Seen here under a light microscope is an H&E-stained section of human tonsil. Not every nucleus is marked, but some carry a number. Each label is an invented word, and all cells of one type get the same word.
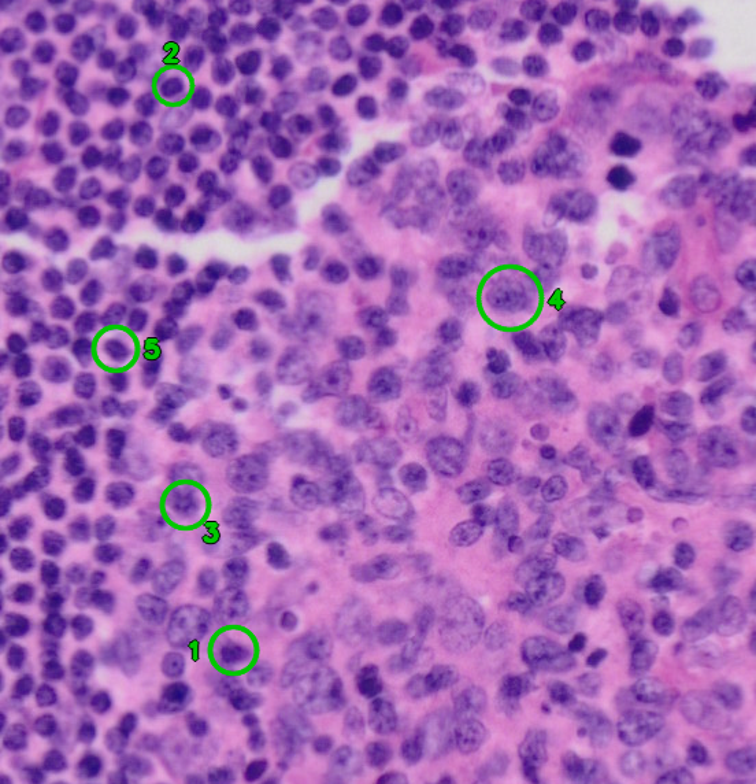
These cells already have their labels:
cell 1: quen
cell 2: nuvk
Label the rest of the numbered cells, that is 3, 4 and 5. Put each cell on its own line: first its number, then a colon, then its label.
3: quen
4: quen
5: nuvk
